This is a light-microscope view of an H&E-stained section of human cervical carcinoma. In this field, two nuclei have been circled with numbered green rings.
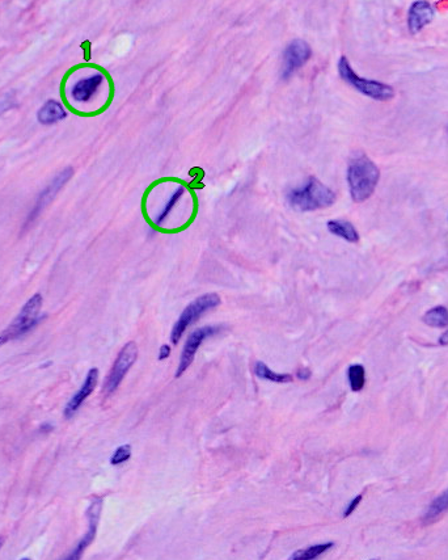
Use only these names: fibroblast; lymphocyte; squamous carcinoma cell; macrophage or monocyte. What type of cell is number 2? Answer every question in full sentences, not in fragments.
In the marked set, the cell given number 2 is a fibroblast.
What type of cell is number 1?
The marked cell bearing number 1 is a lymphocyte.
